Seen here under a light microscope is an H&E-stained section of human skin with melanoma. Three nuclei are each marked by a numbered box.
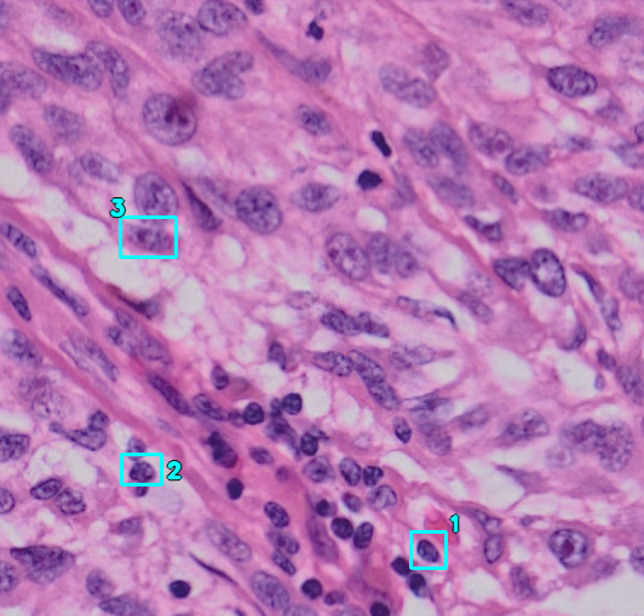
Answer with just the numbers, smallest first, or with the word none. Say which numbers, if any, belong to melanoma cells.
3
